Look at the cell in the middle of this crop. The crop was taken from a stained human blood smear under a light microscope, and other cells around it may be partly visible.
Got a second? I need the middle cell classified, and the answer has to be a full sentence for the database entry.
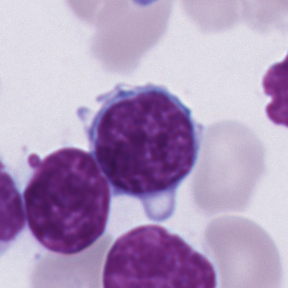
The middle of this crop is occupied by a myeloblast.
